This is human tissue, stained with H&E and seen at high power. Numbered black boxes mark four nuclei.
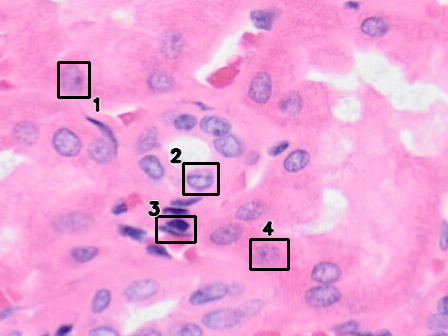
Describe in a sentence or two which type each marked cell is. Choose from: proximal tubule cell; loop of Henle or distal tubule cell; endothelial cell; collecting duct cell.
Cell 1 is a proximal tubule cell, cell 2 is a collecting duct cell, cell 3 is an endothelial cell and cell 4 is a proximal tubule cell.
